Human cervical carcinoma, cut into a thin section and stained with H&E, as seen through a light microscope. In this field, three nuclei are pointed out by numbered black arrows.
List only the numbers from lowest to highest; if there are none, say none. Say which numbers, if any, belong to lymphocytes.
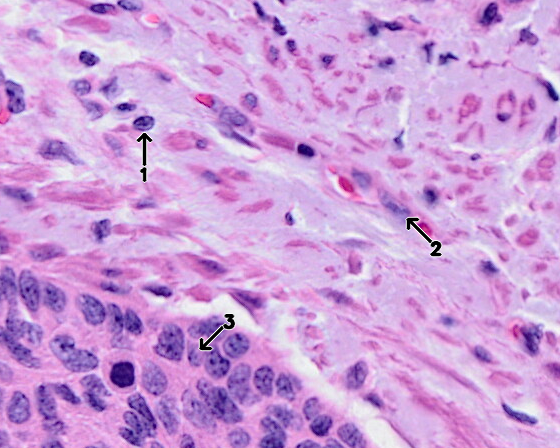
1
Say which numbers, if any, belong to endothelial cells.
2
